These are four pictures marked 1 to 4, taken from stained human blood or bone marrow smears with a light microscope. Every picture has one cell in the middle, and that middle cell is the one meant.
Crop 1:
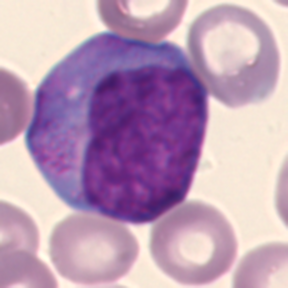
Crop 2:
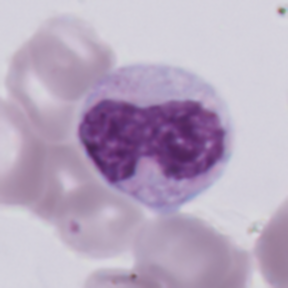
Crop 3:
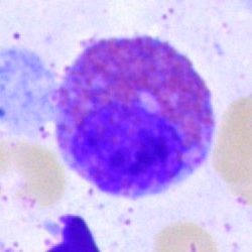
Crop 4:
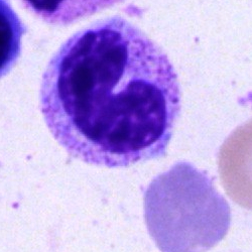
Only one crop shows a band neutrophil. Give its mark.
2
